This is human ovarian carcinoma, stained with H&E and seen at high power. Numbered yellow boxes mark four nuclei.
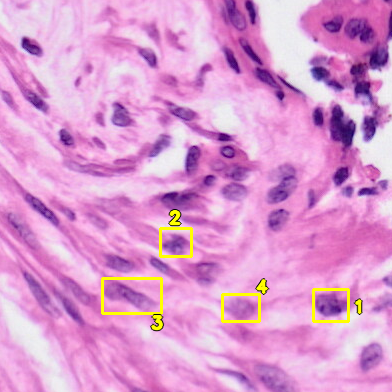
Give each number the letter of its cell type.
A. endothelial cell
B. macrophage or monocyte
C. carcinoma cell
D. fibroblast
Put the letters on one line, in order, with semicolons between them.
B; D; D; D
